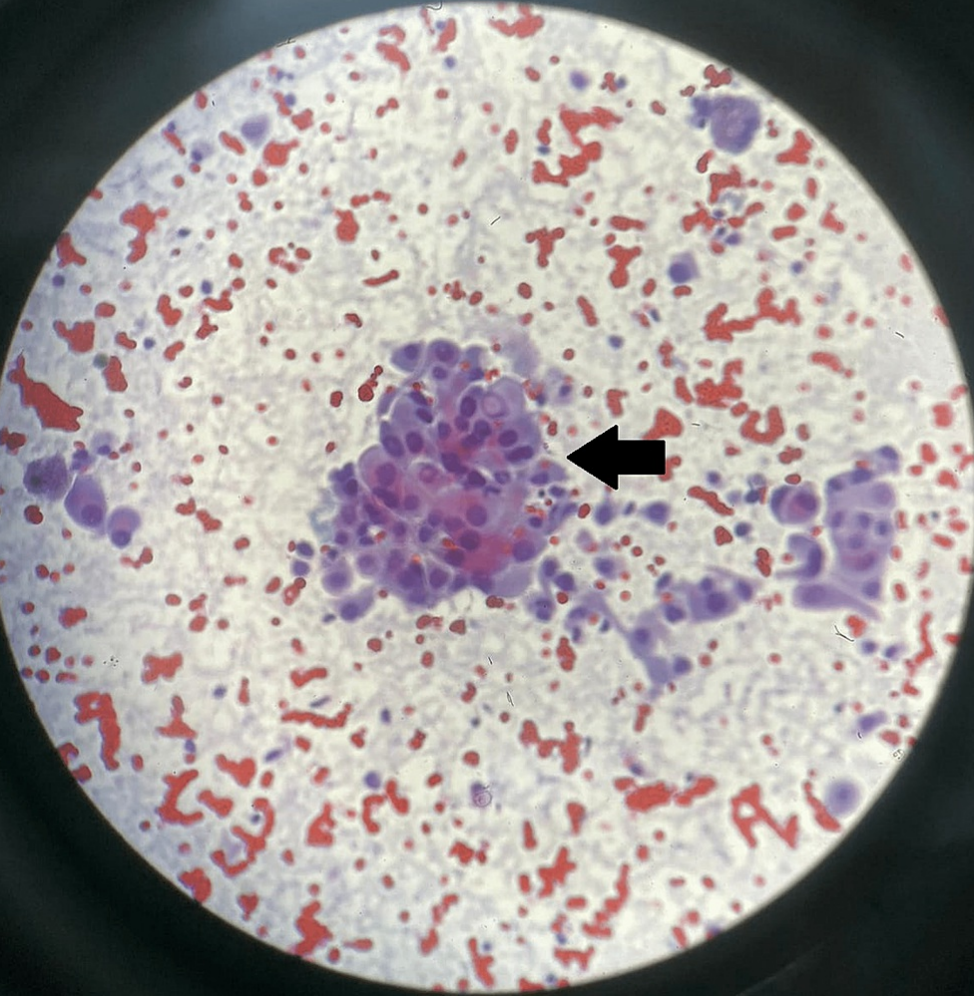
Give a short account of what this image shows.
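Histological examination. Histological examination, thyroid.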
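A cytological smear shows cohesive sheets and clusters of follicular epithelial cells with violet cytoplasm and large round to oval purple nuclei, set in a background of abundant red-stained blood cells. Smaller groups of similar cells lie to the right and left of the central cluster.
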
